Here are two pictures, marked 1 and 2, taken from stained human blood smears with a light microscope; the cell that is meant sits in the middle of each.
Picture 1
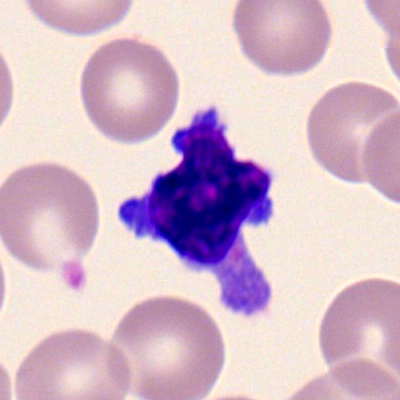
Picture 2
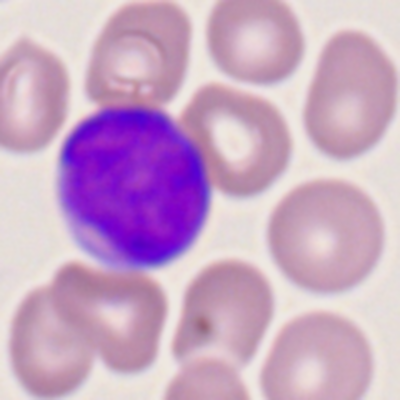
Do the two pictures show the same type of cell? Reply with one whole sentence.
No; the cell in picture 1 is a lymphocyte, while the one in picture 2 is a myeloblast.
